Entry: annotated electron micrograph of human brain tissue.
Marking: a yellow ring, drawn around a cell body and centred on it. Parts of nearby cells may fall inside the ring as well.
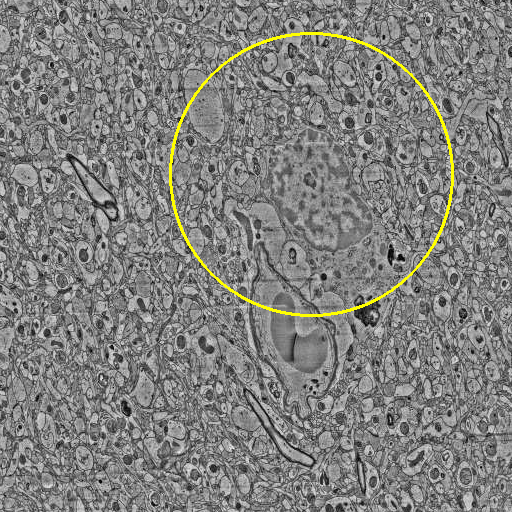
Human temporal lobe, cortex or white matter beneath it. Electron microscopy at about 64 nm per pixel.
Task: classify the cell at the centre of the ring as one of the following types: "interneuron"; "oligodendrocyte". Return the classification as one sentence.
The marked cell is classified as an oligodendrocyte.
